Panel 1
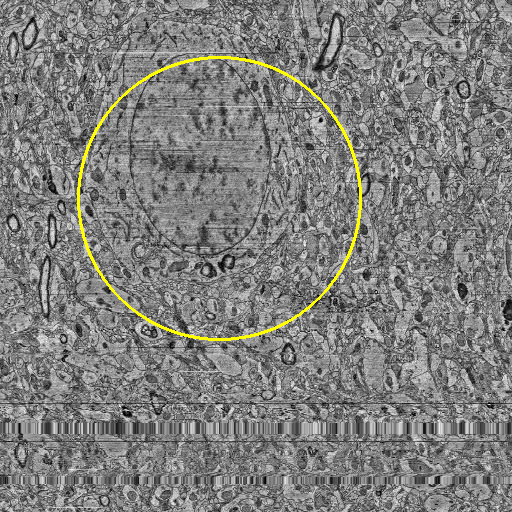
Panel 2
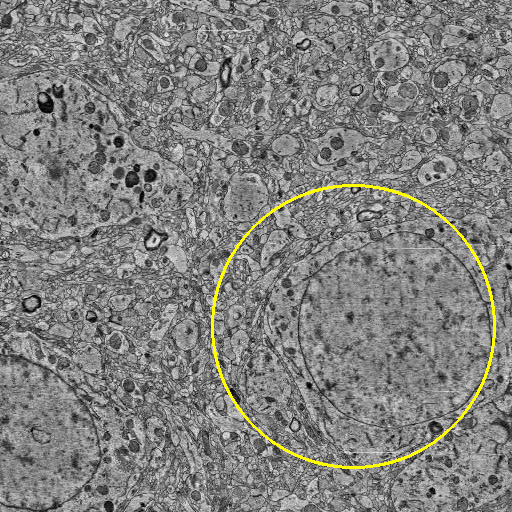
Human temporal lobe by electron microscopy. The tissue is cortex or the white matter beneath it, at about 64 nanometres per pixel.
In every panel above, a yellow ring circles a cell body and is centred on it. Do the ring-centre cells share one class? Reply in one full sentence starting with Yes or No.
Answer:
Yes, the two cells at the ring centres in the panels belong to one class.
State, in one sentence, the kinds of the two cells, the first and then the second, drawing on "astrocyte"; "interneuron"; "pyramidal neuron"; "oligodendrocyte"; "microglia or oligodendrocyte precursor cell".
The first and the second cell are each a pyramidal neuron.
